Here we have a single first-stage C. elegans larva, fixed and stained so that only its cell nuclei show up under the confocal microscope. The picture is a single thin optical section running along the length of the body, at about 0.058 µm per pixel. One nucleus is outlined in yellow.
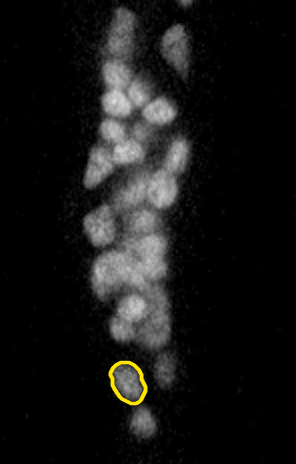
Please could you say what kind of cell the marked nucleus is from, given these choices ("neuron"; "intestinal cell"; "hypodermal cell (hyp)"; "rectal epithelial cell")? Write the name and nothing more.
hypodermal cell (hyp)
